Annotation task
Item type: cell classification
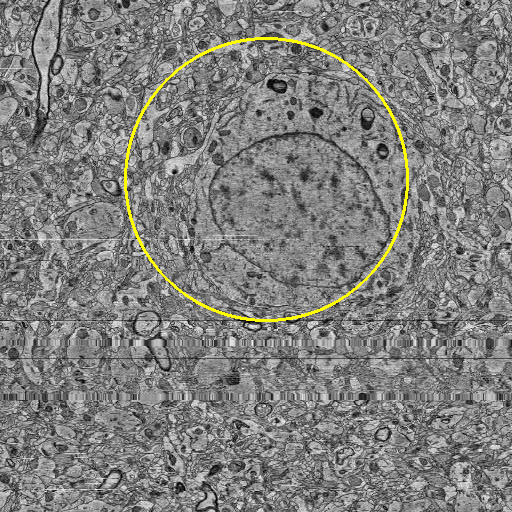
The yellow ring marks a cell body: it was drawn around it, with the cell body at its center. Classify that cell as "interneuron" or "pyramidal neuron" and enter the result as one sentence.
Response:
The ring's center falls on a pyramidal neuron.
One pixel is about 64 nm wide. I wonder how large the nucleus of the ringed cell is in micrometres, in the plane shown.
Approximately 12 micrometres long and 10 micrometres wide, in this plane.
